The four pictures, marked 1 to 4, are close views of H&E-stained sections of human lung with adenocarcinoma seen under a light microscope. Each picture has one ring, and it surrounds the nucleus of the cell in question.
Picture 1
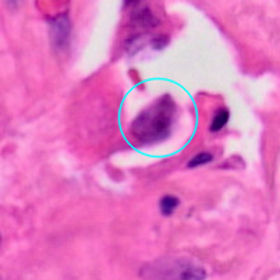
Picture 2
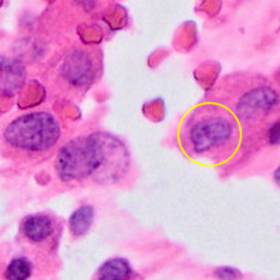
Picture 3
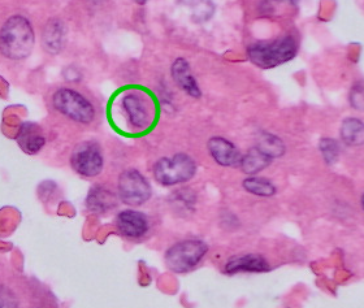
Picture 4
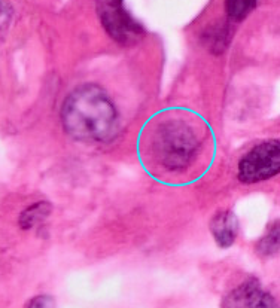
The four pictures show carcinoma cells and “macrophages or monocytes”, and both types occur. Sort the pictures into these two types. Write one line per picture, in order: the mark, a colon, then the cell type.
1: carcinoma cell
2: macrophage or monocyte
3: macrophage or monocyte
4: carcinoma cell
